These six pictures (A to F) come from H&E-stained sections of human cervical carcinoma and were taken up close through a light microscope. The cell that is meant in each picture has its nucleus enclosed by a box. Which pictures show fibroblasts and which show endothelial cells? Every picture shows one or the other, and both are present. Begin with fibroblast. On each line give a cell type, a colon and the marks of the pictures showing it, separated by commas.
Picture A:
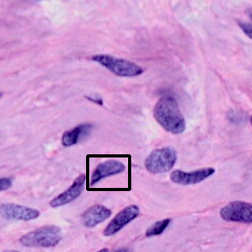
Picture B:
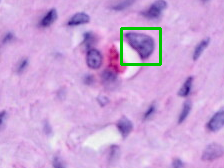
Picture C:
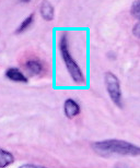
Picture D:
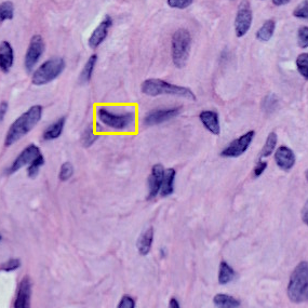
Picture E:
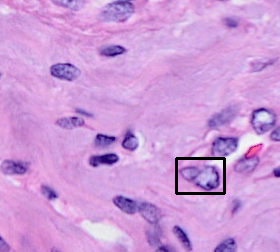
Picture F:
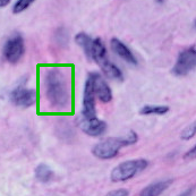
fibroblast: A, C, D
endothelial cell: B, E, F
